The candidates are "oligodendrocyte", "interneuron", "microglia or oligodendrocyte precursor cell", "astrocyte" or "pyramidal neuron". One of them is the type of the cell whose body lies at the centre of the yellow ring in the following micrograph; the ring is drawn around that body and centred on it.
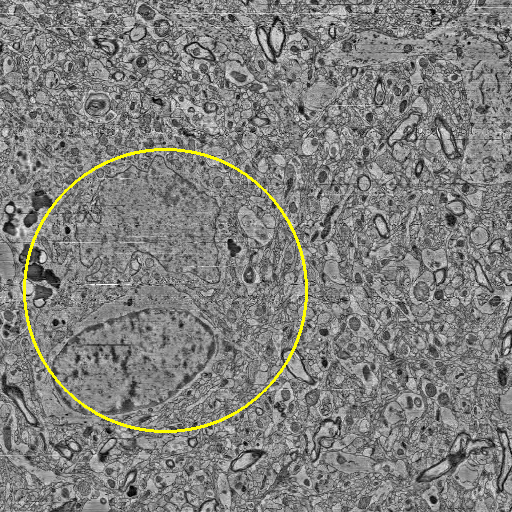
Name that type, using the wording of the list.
pyramidal neuron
